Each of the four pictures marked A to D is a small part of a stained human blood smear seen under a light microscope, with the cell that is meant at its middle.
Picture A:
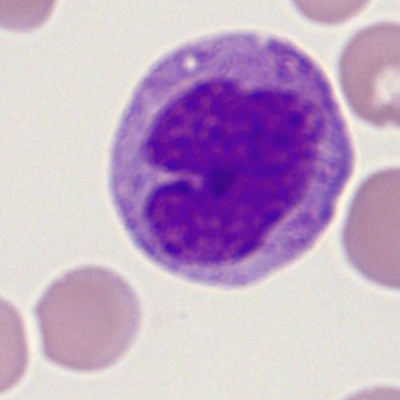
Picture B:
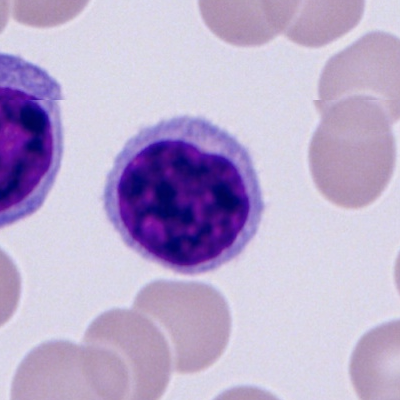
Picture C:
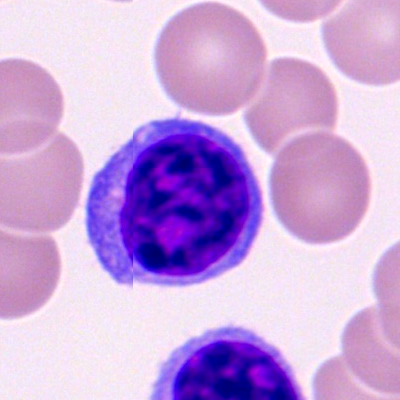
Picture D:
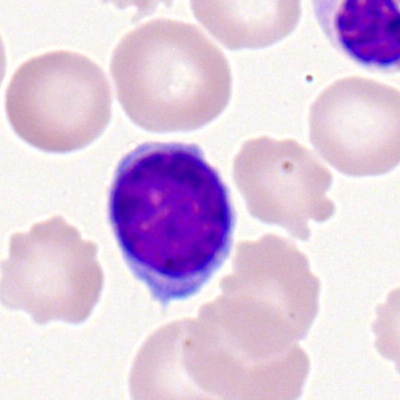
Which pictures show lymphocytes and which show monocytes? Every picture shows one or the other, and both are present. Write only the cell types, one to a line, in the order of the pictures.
monocyte
lymphocyte
lymphocyte
lymphocyte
